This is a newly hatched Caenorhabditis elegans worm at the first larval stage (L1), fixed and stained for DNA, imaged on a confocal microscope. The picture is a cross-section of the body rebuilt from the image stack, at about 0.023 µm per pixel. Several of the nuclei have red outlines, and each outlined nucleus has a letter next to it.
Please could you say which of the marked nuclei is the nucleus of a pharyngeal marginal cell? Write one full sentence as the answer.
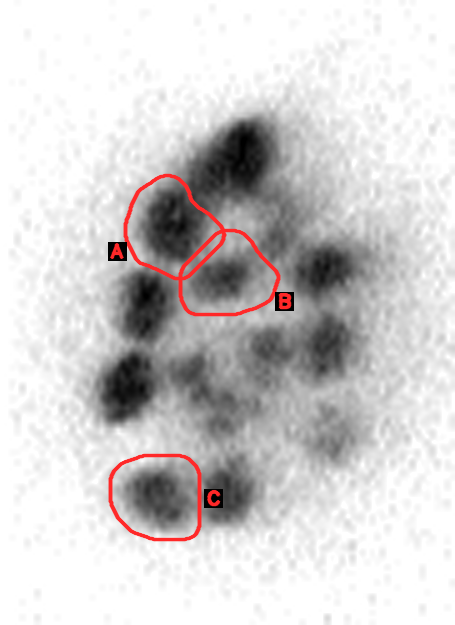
Nucleus B belongs to a pharyngeal marginal cell.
